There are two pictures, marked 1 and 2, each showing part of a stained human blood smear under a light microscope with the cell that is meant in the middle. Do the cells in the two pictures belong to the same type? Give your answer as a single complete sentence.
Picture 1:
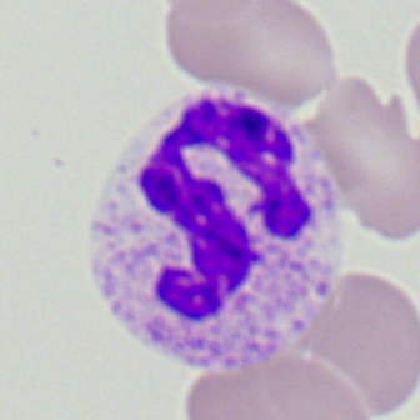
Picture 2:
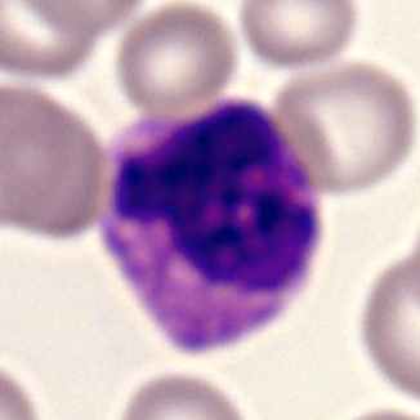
No, they differ: the cell is a segmented neutrophil in picture 1 and a basophil in picture 2.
